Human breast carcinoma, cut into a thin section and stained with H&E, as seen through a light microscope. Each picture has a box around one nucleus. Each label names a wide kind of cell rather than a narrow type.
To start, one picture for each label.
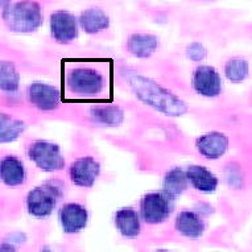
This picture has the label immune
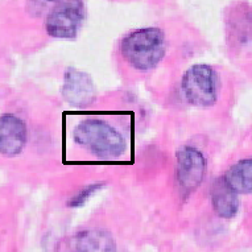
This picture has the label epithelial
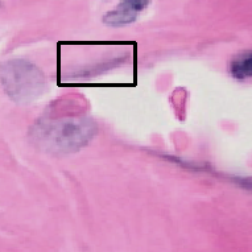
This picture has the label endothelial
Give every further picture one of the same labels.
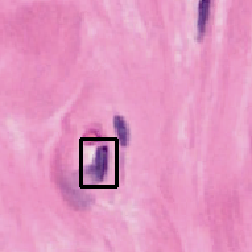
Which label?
endothelial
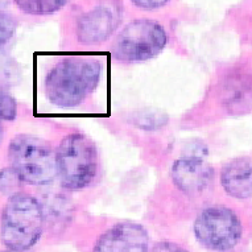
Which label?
epithelial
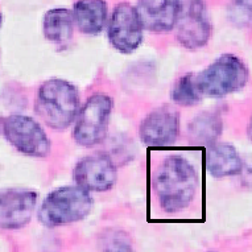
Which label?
epithelial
